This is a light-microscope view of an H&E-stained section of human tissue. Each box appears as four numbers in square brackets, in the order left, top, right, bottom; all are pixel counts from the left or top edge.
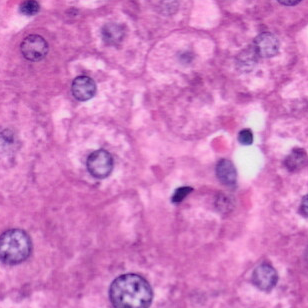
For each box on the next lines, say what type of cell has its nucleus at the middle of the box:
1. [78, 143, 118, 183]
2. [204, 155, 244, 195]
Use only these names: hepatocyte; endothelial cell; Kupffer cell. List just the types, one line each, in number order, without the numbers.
hepatocyte
Kupffer cell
